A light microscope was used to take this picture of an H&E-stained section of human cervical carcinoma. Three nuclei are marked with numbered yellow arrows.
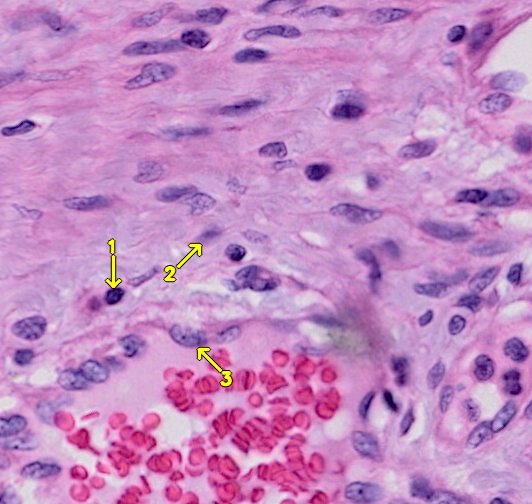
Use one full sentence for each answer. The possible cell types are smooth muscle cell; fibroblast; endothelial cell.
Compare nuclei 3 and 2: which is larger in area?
Of the two, number 3 is bigger and takes up about 2.5 times the area of number 2.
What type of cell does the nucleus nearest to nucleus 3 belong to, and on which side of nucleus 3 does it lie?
Just to the right of nucleus 3 lies the nearest nucleus, which belongs to an endothelial cell.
